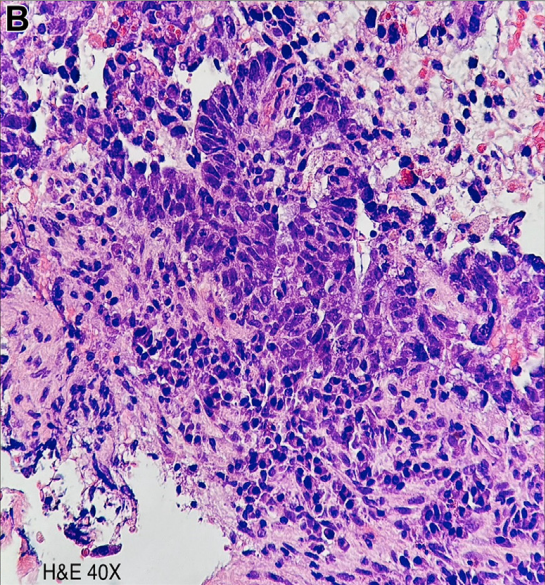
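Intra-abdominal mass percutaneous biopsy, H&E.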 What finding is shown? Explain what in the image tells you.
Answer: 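Nuclei vary markedly in size and shape. Nuclei are large and hyperchromatic with little surrounding cytoplasm. Cells are crowded in disorganized sheets.
Answer: pleomorphic cells, increased nuclear-to-cytoplasmic ratio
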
